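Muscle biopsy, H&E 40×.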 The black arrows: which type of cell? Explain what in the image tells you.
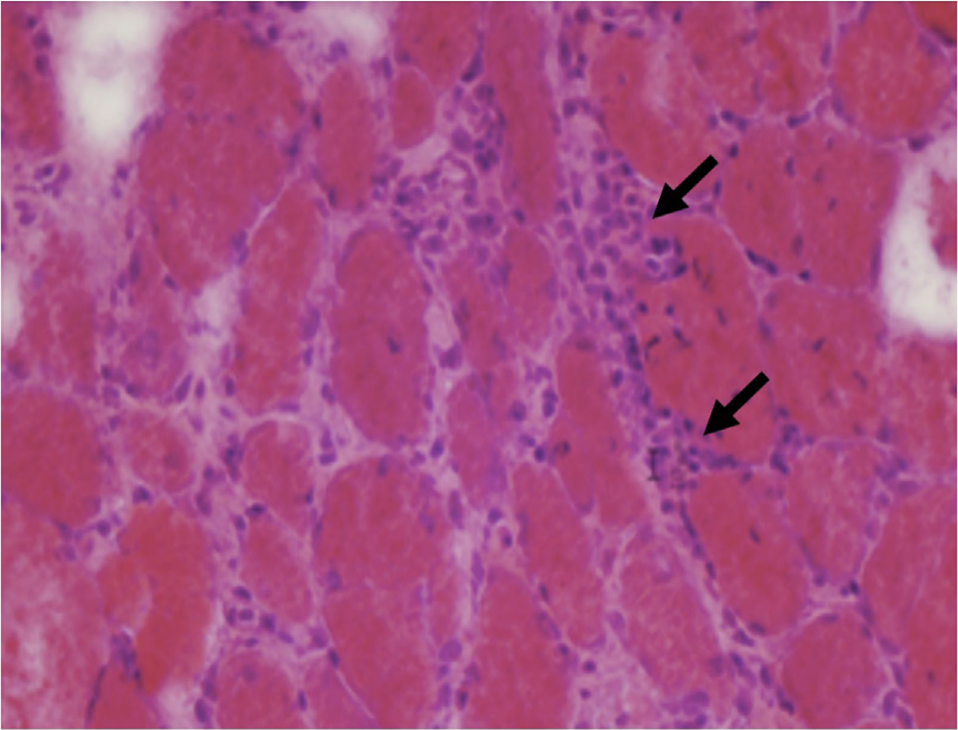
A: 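The arrows point to clusters of small round cells with dark purple nuclei. These small cells lie in the spaces between the pink muscle fibers, not inside them.
Answer: endomysial inflammatory cells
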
